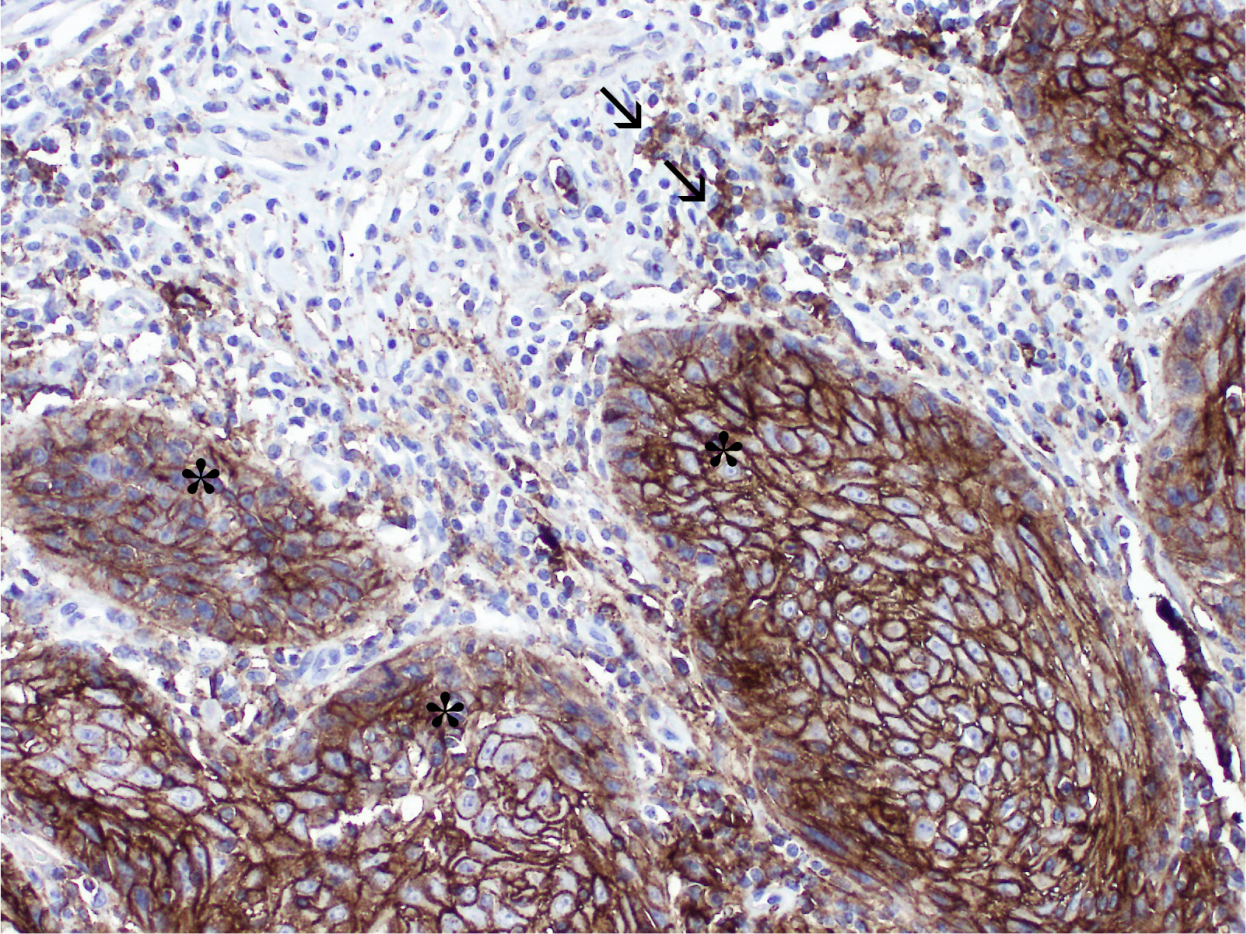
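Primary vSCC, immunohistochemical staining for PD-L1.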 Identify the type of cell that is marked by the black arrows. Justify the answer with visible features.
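Immune cells. The arrows point into the stroma between the cell nests. The stroma there holds many small, round, dark nuclei of scattered cells. Some of these small stromal cells carry brown, granular staining.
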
